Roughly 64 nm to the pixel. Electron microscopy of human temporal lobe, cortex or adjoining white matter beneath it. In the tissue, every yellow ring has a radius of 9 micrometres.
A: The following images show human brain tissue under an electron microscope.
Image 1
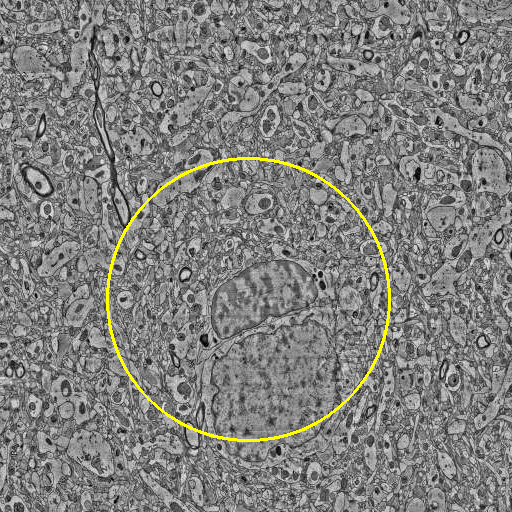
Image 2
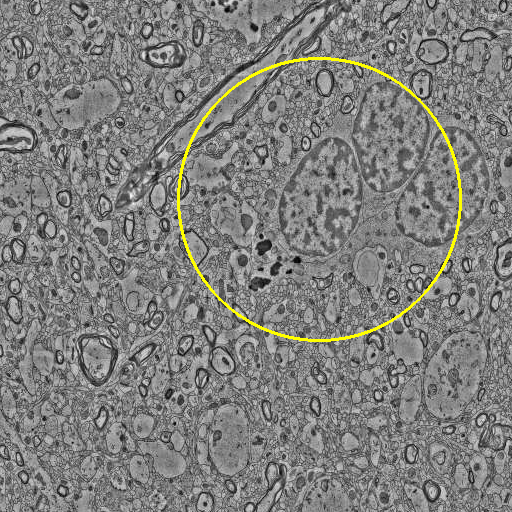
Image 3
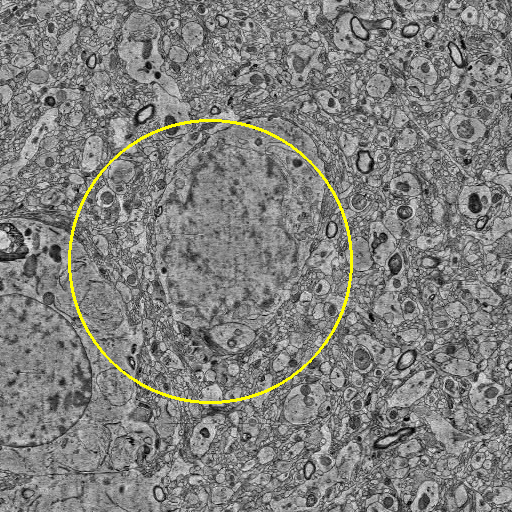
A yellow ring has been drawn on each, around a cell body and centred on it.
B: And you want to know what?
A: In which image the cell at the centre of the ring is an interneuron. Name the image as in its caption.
Image 3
